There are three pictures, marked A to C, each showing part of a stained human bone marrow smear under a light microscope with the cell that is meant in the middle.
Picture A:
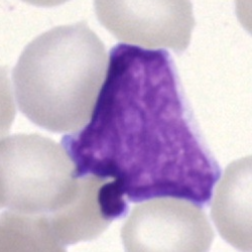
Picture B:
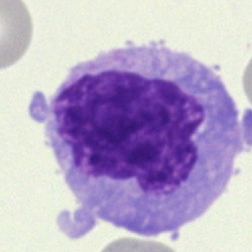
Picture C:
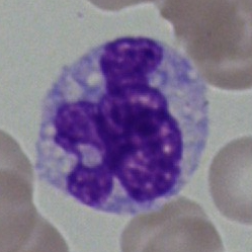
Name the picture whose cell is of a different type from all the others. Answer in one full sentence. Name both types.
Picture A is the odd one out: it shows a blast, while the others show monocytes.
